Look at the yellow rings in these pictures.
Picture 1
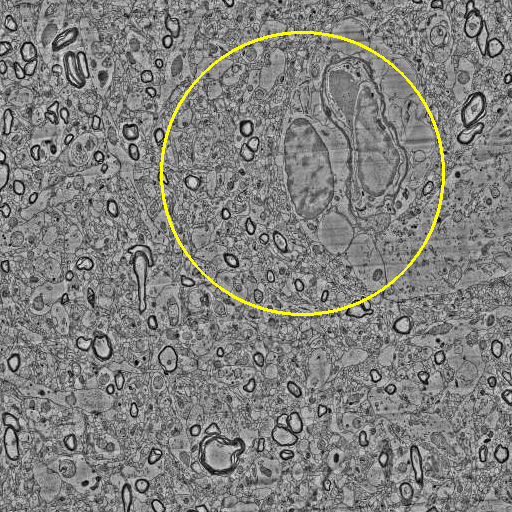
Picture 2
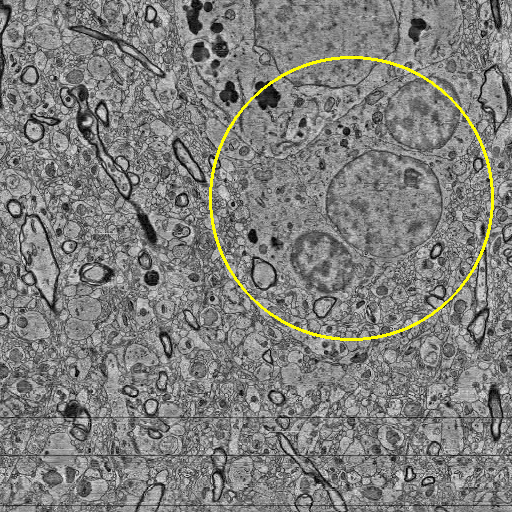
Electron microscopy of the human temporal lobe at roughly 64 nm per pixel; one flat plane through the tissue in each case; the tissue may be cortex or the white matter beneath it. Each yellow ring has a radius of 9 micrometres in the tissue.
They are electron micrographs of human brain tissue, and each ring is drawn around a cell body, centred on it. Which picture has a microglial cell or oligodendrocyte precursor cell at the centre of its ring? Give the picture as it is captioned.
Picture 1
